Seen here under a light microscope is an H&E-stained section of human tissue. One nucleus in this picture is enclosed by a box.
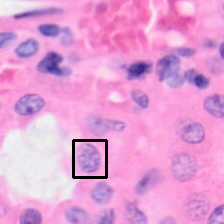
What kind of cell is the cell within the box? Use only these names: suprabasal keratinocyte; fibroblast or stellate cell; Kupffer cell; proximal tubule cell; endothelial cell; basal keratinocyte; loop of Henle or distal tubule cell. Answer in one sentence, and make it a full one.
In this tissue section, the cell within the box is to be classed as a loop of Henle or distal tubule cell.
